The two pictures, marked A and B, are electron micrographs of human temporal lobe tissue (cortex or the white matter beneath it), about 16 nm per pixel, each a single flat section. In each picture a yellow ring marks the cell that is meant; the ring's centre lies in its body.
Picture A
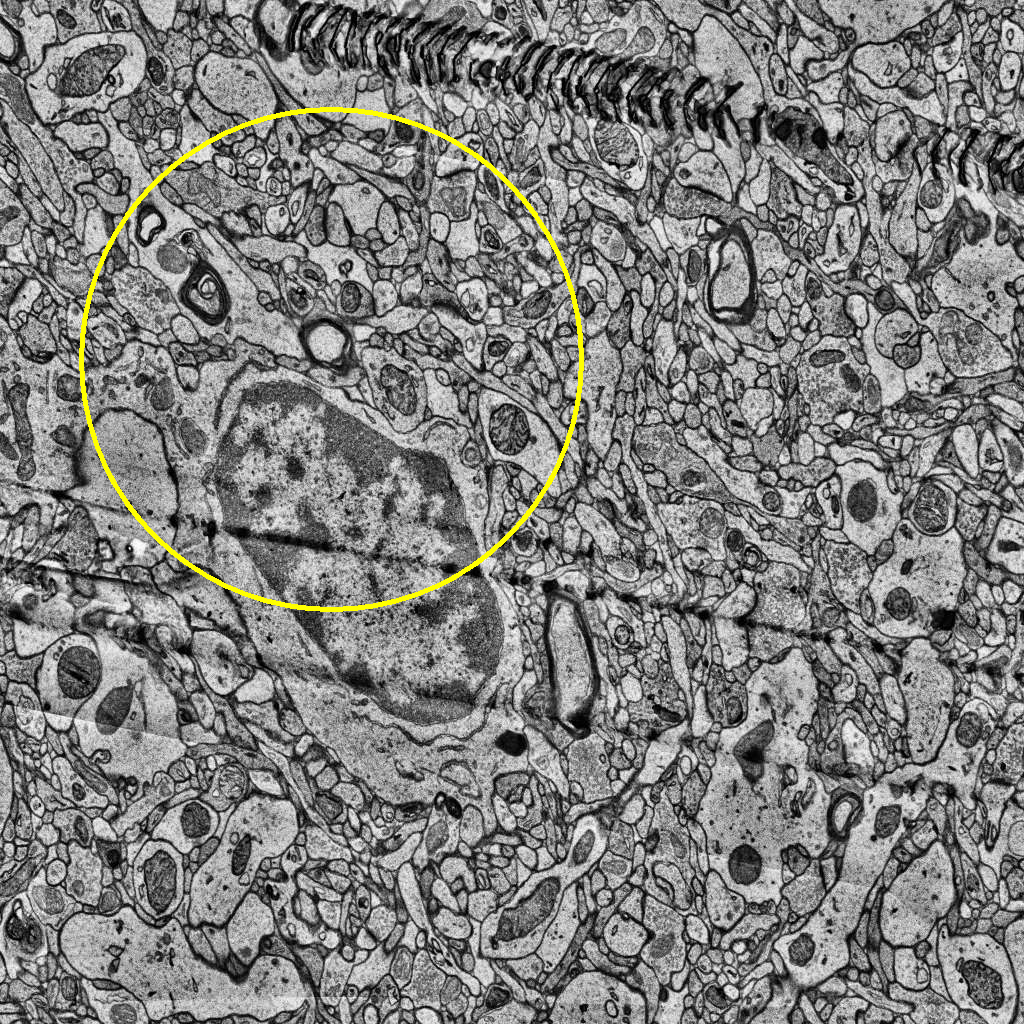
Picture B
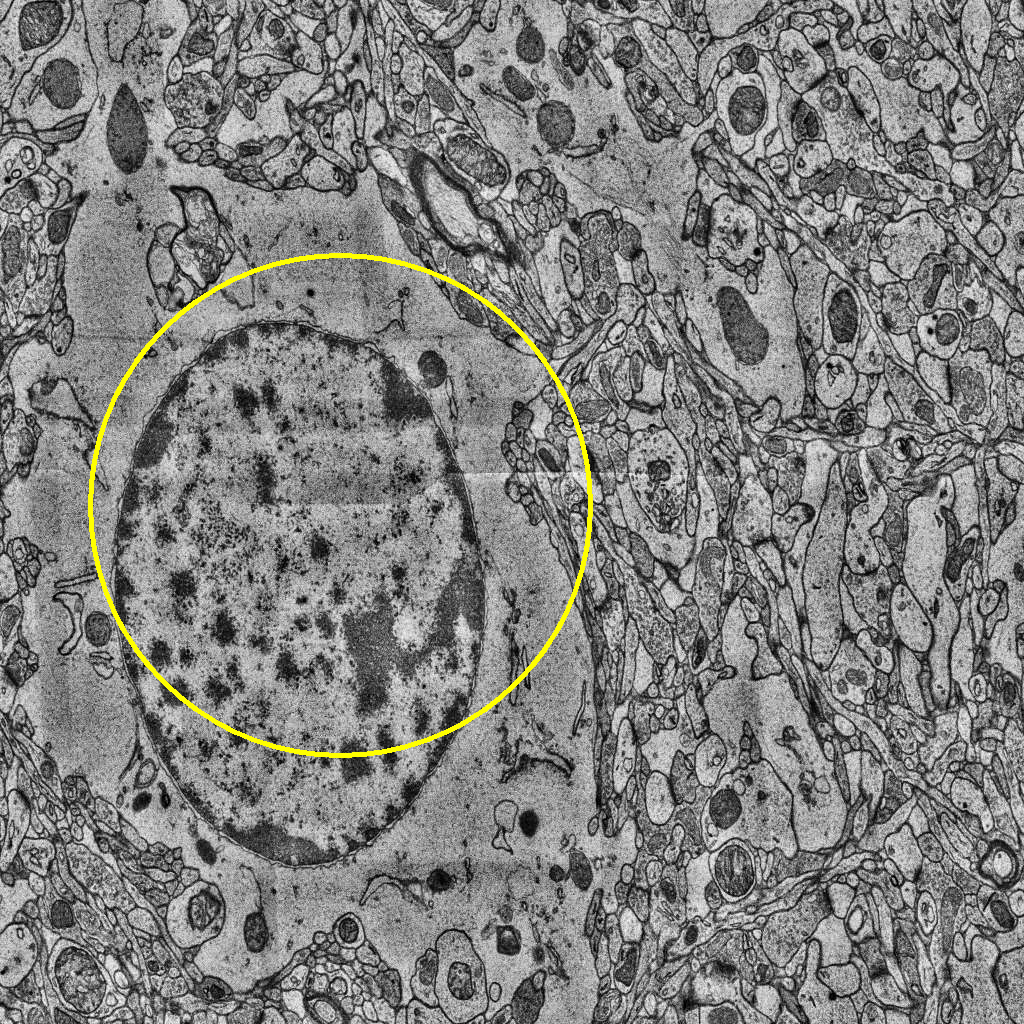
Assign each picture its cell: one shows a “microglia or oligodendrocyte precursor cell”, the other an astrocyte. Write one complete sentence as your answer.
It is picture A that shows a “microglia or oligodendrocyte precursor cell”, and picture B that shows an astrocyte.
